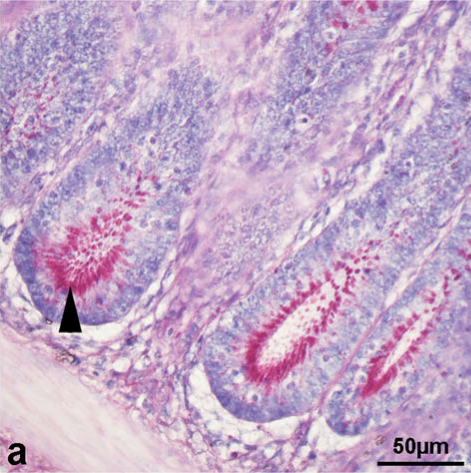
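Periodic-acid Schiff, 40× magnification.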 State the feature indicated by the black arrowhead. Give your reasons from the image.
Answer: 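The arrowhead points to the rounded blind end of a tubular gland. The gland end lies at the lower edge next to the underlying connective tissue. Magenta-stained cells cluster densely around the lumen at this end.
Conclusion: Crypt bases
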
